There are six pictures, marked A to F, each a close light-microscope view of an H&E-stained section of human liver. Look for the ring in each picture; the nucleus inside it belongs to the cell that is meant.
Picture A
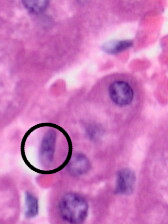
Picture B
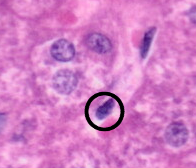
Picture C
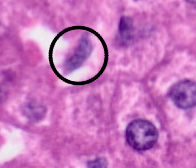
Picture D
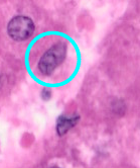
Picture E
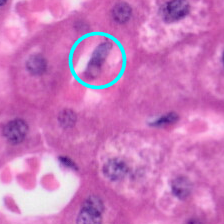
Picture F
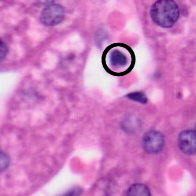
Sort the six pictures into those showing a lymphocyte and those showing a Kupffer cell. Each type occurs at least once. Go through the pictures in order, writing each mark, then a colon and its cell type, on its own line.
A: Kupffer cell
B: lymphocyte
C: Kupffer cell
D: Kupffer cell
E: Kupffer cell
F: lymphocyte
